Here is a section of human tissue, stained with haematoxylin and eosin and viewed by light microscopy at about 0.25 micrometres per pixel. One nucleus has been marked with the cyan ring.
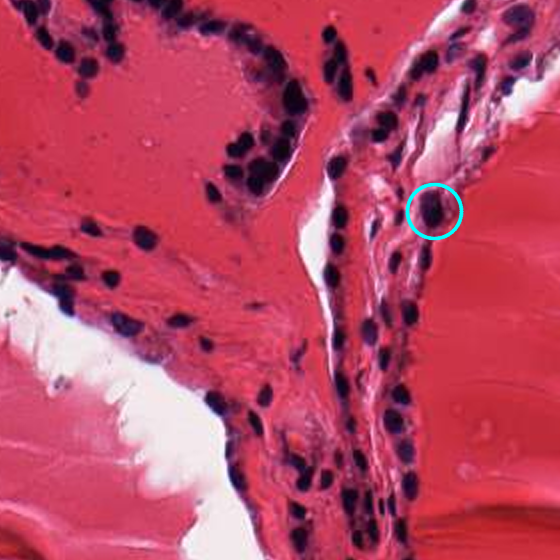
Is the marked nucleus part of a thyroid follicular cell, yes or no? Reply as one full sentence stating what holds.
Yes, the marked nucleus is the nucleus belonging to a thyroid follicular cell.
